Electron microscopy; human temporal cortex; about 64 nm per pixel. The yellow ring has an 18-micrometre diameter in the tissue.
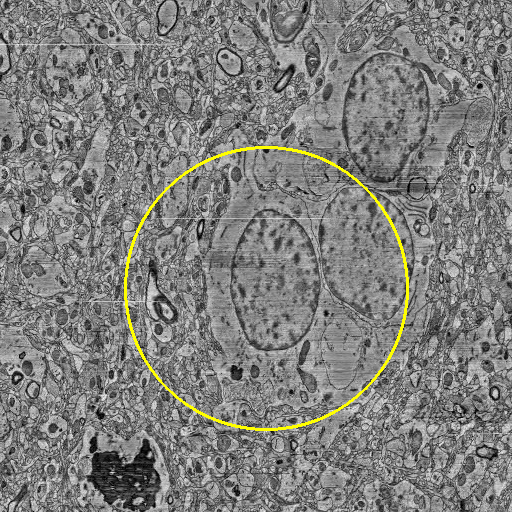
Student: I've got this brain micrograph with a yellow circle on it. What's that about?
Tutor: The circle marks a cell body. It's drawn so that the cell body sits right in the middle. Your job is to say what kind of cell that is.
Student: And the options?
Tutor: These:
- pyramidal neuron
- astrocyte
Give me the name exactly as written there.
astrocyte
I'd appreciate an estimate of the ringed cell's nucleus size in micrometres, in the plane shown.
In this plane, approximately 9 by 6 micrometers, and clearly longer than it is wide.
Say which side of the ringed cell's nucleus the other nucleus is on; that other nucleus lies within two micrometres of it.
The other nucleus is positioned to the upper right of it.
